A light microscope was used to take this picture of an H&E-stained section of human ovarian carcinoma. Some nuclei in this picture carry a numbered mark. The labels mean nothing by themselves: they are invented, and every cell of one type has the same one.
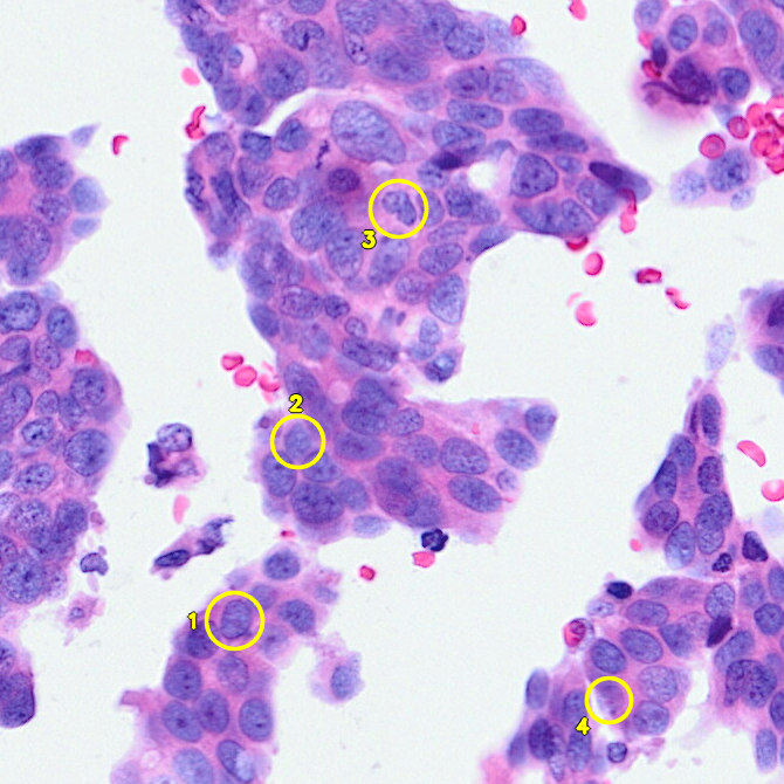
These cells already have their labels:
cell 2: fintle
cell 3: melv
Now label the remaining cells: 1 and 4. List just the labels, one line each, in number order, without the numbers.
fintle
fintle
